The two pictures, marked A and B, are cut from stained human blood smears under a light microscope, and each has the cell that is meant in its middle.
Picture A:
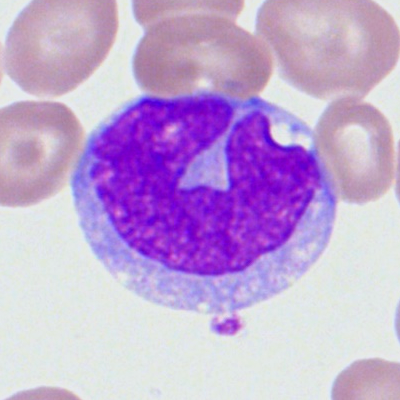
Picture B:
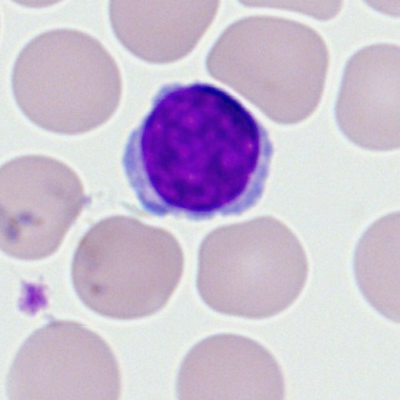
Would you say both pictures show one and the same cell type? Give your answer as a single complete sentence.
No, the types are not the same, since picture A shows a monocyte and picture B a lymphocyte.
